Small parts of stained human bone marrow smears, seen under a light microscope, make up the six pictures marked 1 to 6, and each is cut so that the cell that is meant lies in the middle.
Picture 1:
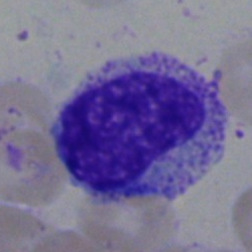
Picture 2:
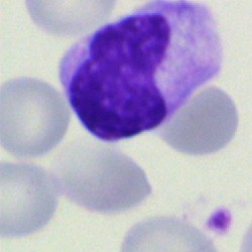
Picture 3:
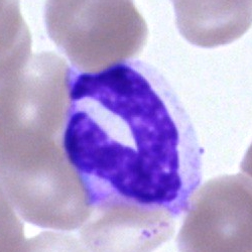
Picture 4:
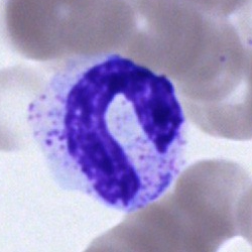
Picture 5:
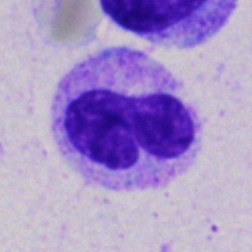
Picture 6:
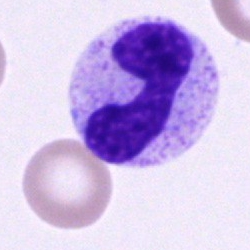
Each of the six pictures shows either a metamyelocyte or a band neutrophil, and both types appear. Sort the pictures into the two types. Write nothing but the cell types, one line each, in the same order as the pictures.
metamyelocyte
metamyelocyte
band neutrophil
band neutrophil
band neutrophil
band neutrophil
